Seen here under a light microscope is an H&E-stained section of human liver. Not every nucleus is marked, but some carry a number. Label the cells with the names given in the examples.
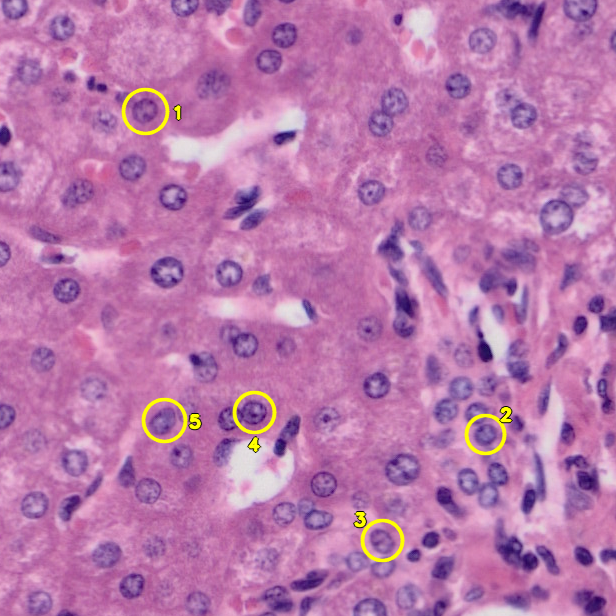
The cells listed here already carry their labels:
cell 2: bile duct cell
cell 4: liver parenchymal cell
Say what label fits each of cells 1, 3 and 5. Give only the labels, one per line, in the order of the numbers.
liver parenchymal cell
bile duct cell
bile duct cell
